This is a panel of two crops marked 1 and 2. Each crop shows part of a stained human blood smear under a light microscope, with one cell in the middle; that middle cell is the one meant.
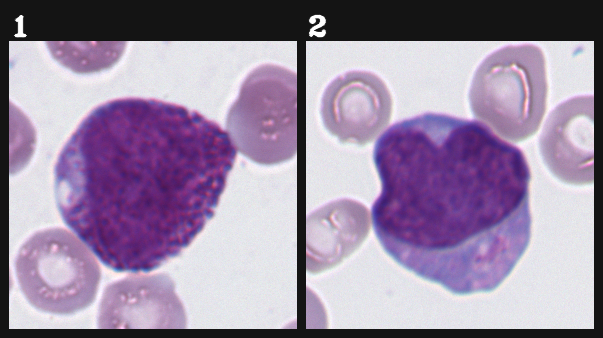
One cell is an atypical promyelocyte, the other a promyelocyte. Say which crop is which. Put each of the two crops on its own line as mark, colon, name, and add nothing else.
1: promyelocyte
2: atypical promyelocyte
